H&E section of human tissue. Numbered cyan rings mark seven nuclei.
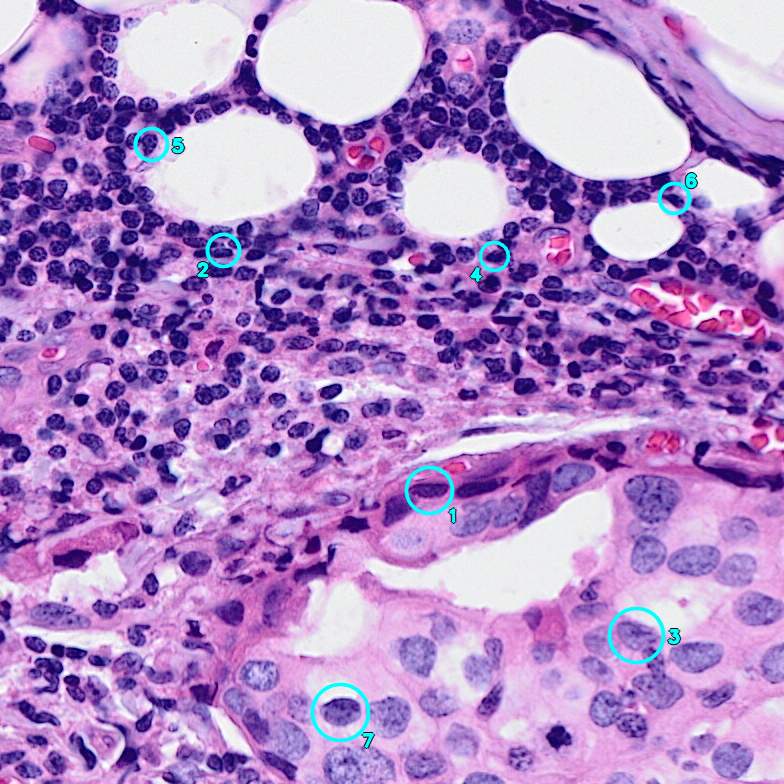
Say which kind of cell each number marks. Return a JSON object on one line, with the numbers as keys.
{"1": "carcinoma cell", "2": "lymphocyte", "3": "carcinoma cell", "4": "lymphocyte", "5": "lymphocyte", "6": "lymphocyte", "7": "carcinoma cell"}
